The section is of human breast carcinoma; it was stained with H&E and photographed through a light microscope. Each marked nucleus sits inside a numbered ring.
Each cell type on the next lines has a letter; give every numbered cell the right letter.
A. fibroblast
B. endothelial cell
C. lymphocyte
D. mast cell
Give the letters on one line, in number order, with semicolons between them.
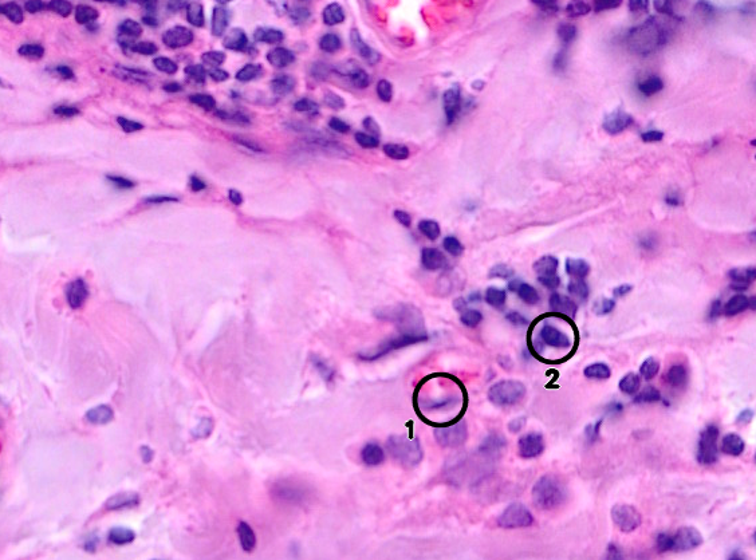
B; C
